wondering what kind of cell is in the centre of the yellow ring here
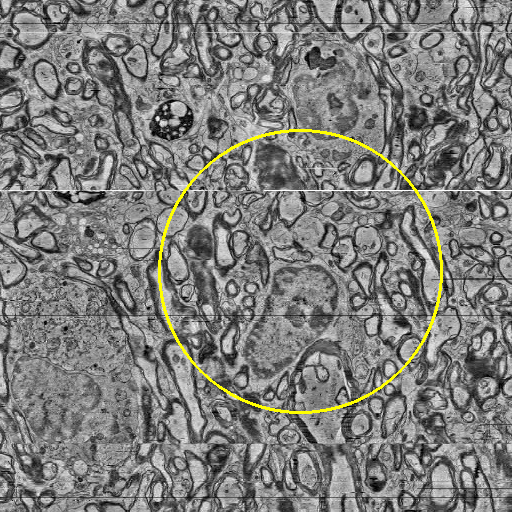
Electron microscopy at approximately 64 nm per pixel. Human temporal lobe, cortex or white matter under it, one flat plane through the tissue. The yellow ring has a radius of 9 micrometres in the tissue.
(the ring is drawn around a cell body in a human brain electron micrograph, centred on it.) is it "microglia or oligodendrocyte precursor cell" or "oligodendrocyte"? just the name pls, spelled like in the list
microglia or oligodendrocyte precursor cell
